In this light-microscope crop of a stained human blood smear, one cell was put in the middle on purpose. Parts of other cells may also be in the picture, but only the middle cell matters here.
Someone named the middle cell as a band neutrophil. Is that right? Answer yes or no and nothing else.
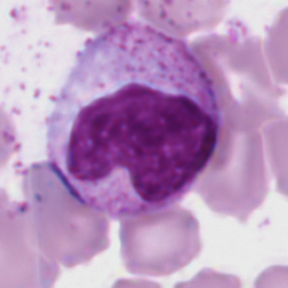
no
